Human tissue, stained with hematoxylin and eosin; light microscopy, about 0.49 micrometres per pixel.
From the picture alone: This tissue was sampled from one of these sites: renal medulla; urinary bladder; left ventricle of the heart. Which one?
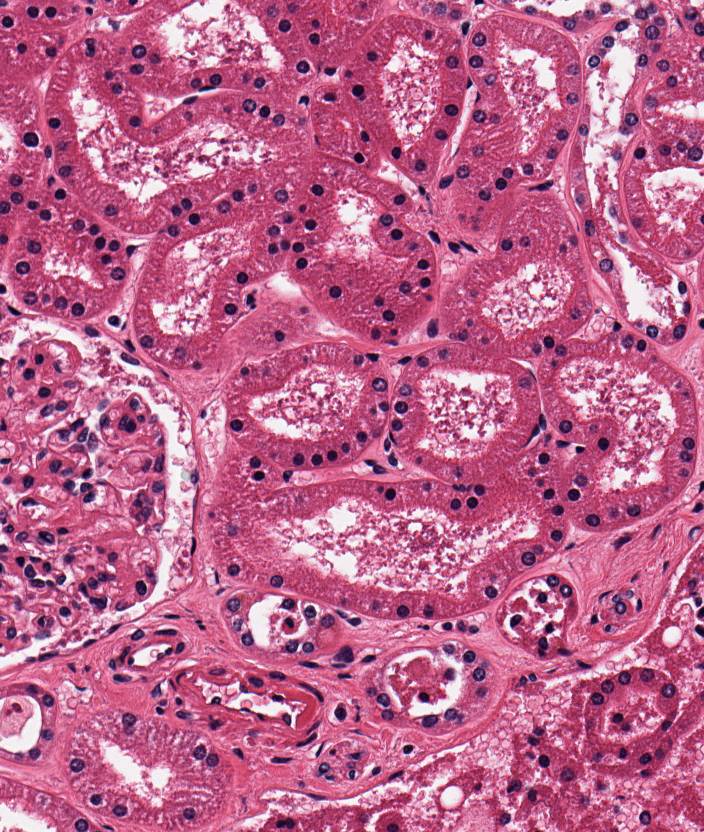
renal medulla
